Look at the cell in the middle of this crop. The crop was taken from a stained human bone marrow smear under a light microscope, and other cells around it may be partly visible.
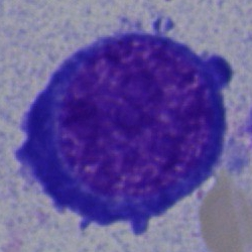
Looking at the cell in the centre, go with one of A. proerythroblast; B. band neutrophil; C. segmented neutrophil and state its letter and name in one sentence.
Given that the cell in the middle is a proerythroblast, option A is correct.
